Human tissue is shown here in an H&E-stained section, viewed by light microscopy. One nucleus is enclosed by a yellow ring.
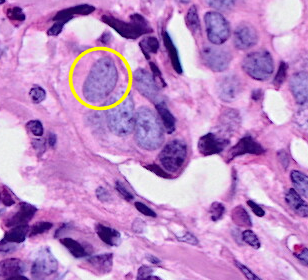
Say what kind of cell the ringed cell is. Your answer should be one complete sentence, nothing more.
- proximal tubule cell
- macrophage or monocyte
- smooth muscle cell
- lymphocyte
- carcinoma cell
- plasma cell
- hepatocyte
Right, so the ringed cell is a carcinoma cell, to answer that.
